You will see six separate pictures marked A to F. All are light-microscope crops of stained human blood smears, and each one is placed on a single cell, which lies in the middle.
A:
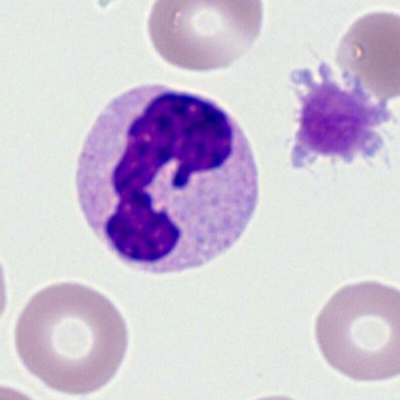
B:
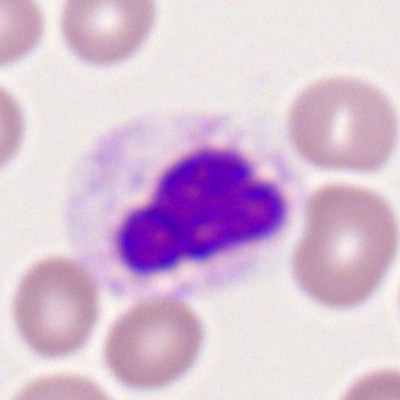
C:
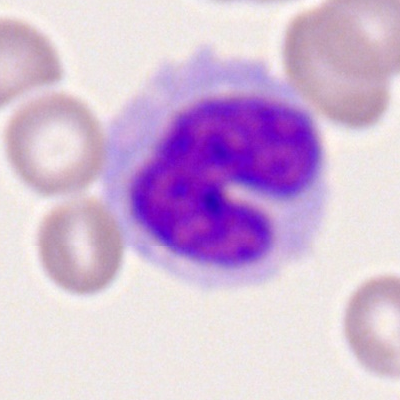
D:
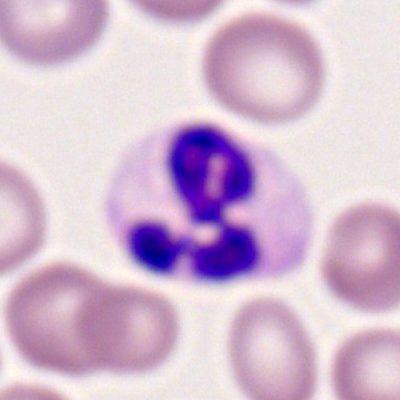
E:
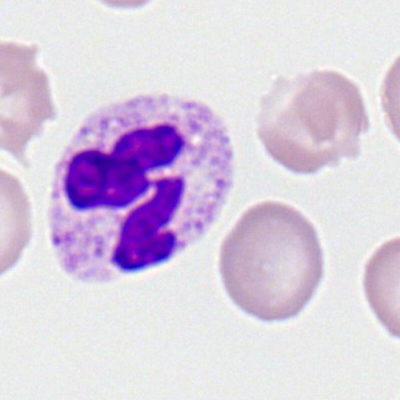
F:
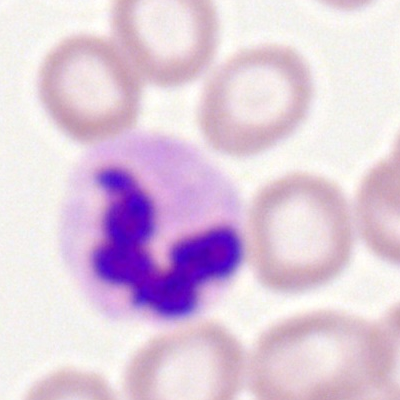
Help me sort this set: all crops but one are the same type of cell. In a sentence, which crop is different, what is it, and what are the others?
Whereas the other crops all show segmented neutrophils, crop C shows a monocyte.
